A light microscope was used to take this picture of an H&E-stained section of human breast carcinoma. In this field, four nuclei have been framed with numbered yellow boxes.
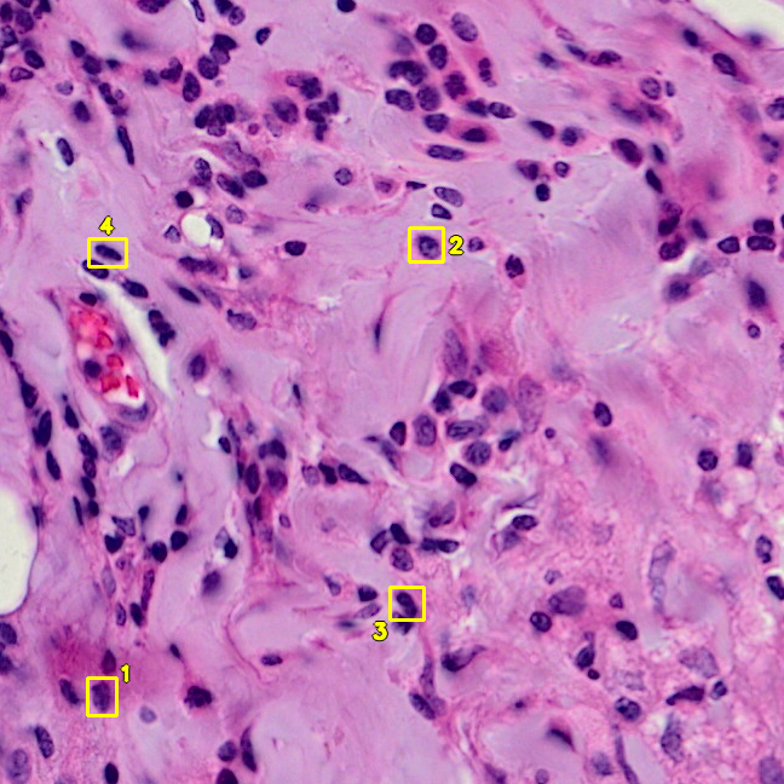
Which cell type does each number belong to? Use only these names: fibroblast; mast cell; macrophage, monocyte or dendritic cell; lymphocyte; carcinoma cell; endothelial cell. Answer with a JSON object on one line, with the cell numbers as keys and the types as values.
{"1": "lymphocyte", "2": "mast cell", "3": "lymphocyte", "4": "lymphocyte"}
